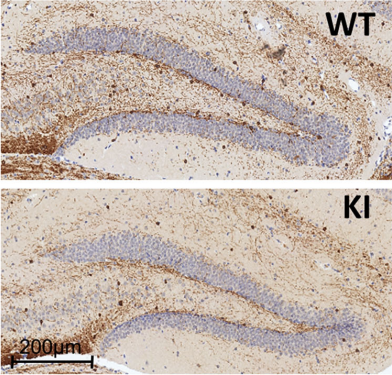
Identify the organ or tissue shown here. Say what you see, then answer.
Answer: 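A densely packed, blue-counterstained band of small round nuclei curves into a V or hairpin shape. Fibre-rich brown-stained tissue surrounds the cell band.
Conclusion: hippocampus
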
